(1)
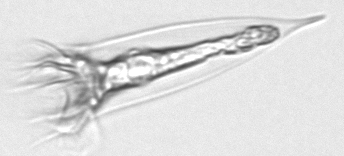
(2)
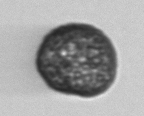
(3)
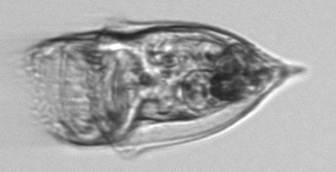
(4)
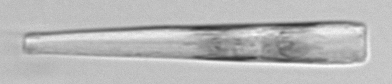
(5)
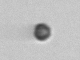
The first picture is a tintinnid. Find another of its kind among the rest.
Picture 3.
